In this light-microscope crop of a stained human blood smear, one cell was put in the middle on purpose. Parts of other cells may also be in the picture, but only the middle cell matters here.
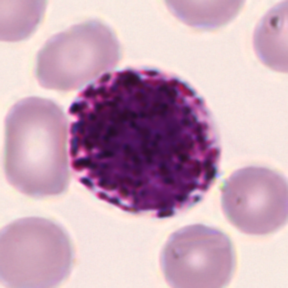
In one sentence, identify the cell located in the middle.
The cell shown in the center of this light-microscope crop is a basophil.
